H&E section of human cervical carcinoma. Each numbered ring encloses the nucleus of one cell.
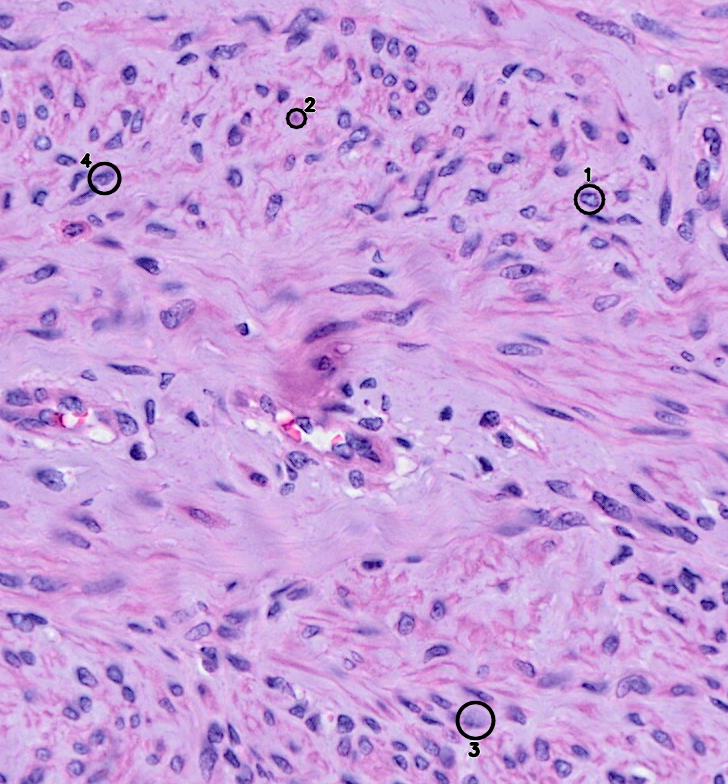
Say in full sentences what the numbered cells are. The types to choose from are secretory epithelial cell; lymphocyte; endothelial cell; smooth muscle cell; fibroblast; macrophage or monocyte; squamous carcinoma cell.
Cells 1, 2 and 3 are smooth muscle cells. Cell 4 is a fibroblast.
